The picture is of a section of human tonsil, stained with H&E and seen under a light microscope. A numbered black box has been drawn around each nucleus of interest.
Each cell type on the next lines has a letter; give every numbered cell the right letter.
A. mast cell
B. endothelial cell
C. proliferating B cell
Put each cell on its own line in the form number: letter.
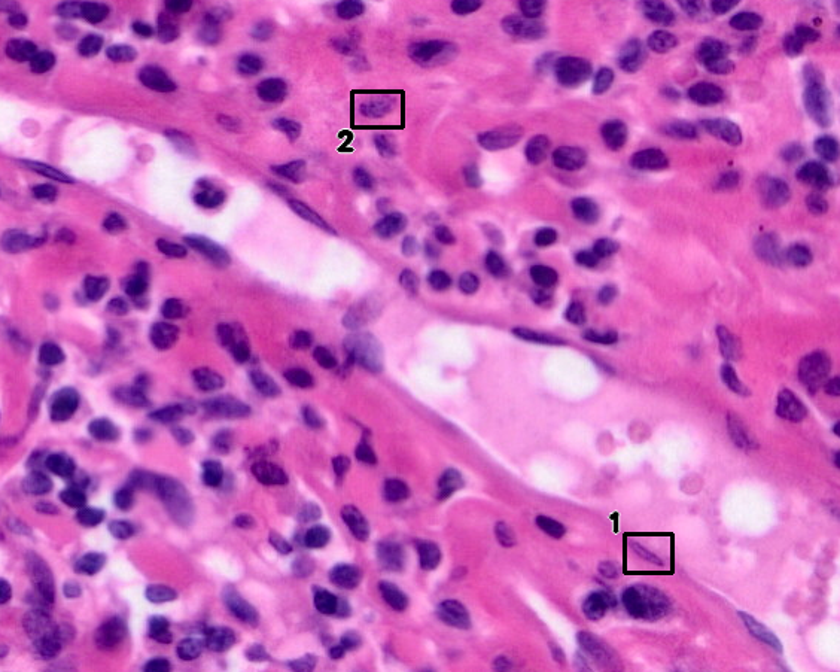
1: B
2: A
